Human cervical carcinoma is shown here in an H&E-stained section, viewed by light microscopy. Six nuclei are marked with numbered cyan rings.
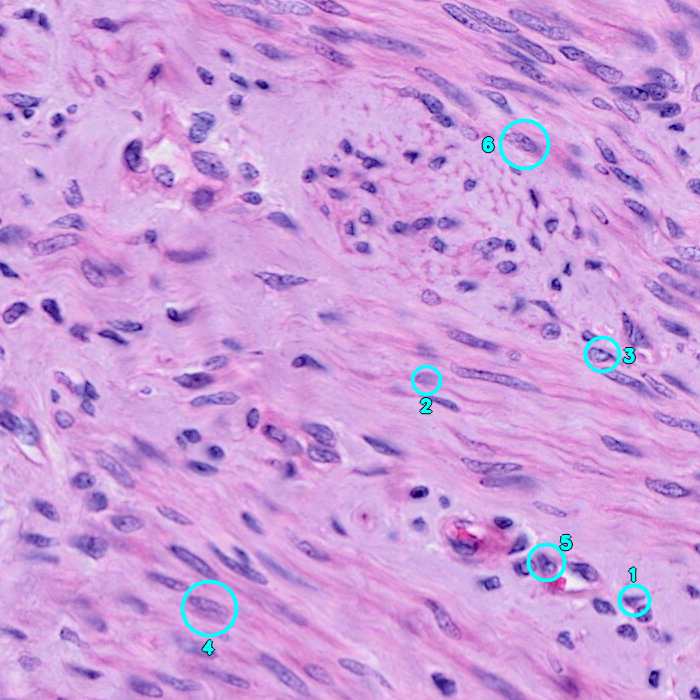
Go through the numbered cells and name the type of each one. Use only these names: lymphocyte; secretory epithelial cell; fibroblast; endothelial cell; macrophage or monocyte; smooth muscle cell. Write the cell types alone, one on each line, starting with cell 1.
fibroblast
smooth muscle cell
smooth muscle cell
smooth muscle cell
endothelial cell
smooth muscle cell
